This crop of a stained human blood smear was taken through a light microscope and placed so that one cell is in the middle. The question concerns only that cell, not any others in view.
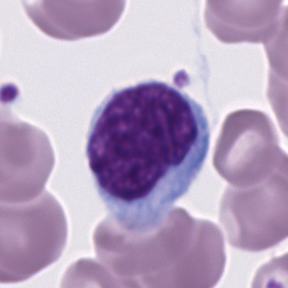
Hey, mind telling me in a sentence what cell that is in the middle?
Centrally within this crop lies a monocyte.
